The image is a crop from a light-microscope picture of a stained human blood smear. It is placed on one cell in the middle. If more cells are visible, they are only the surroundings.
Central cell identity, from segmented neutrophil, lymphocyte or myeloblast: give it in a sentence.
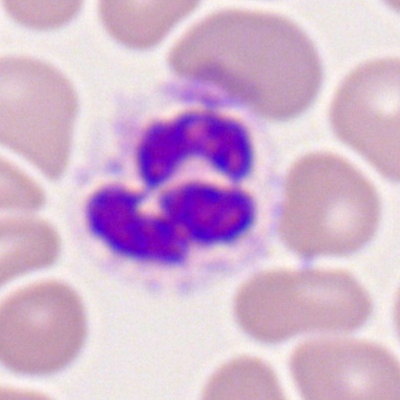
The cell shown in the center of this light-microscope crop is a segmented neutrophil.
